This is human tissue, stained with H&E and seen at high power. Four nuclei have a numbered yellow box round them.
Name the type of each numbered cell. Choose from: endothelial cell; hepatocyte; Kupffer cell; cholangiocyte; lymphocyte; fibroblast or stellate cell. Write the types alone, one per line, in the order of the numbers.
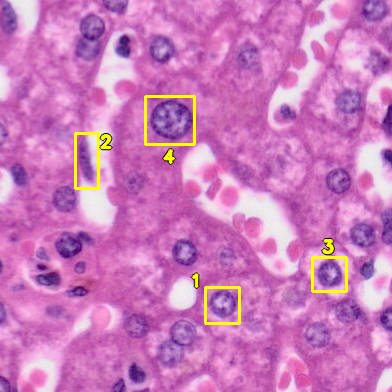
hepatocyte
Kupffer cell
hepatocyte
hepatocyte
